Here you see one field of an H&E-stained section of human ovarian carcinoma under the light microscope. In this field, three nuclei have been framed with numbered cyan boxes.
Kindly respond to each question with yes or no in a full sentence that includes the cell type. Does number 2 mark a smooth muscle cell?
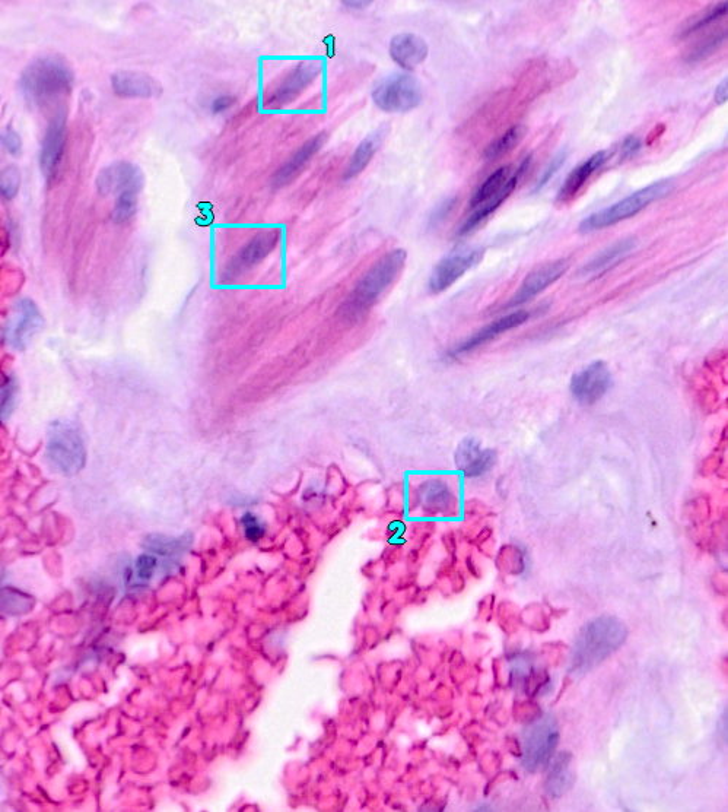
No, sorry, the cell labelled 2 is not a smooth muscle cell; it is an endothelial cell.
